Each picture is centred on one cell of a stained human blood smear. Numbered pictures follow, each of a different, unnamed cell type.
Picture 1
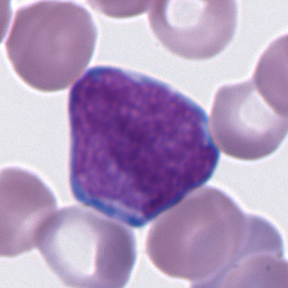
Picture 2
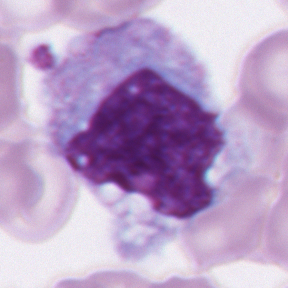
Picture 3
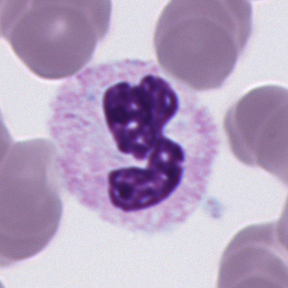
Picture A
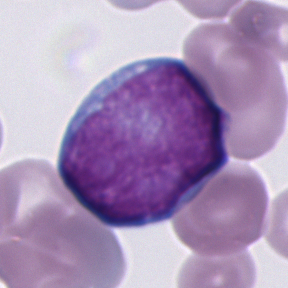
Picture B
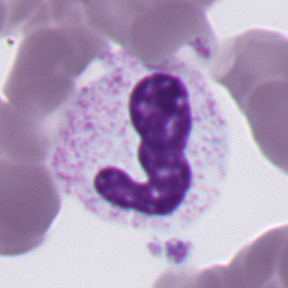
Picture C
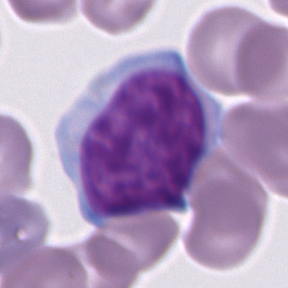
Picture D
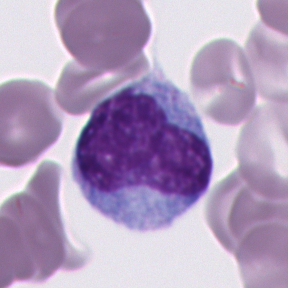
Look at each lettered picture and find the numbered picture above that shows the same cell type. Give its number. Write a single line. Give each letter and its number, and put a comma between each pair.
A 1, B 3, C 1, D 2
